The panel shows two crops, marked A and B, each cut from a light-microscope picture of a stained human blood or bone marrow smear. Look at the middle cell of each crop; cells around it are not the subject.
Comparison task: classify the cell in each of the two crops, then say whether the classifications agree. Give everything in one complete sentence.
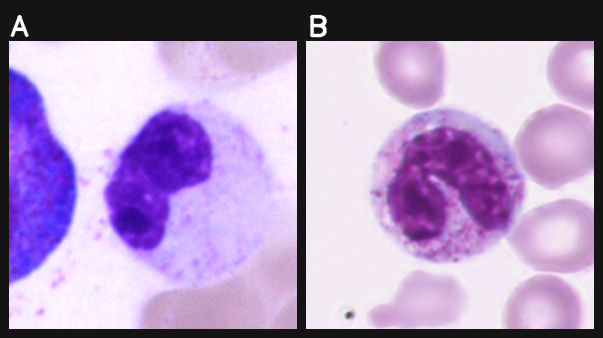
No, that is not right; crop A shows a metamyelocyte and crop B shows a band neutrophil.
